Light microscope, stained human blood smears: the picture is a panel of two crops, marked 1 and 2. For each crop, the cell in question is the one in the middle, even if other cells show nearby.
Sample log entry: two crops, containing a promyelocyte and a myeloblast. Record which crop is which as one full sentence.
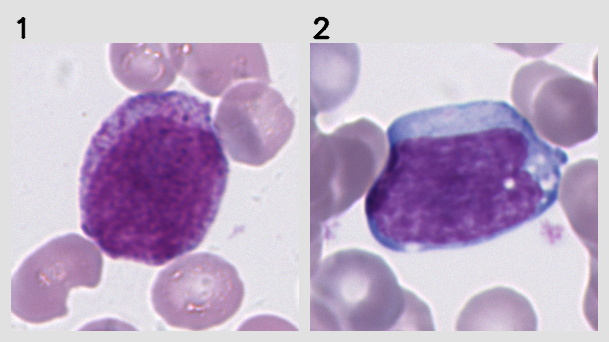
The one in crop 1 is a promyelocyte, and the one in crop 2 is a myeloblast.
